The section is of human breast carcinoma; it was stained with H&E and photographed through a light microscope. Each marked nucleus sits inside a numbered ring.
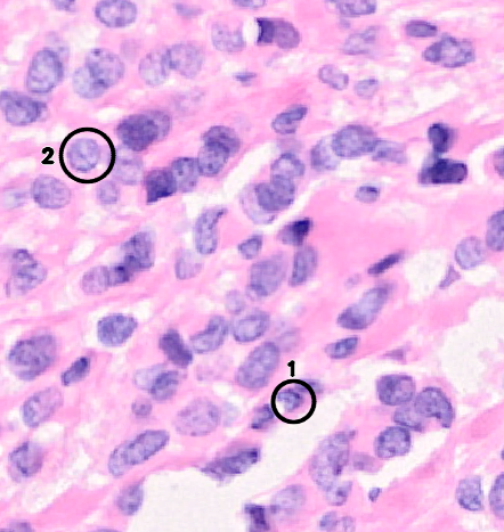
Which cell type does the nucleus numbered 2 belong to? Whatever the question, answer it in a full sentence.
The nucleus marked 2 is the nucleus of a carcinoma cell.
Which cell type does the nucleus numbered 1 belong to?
The label 1 in this section denotes an endothelial cell.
